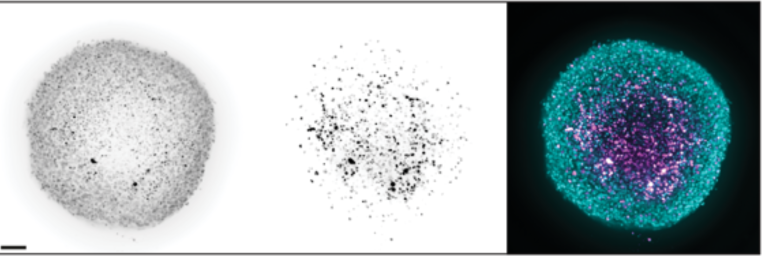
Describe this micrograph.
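The spheroid has a smooth, roughly circular outline. Nuclei are packed throughout, with the densest band along the outer rim. In the merge this rim appears bright cyan.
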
